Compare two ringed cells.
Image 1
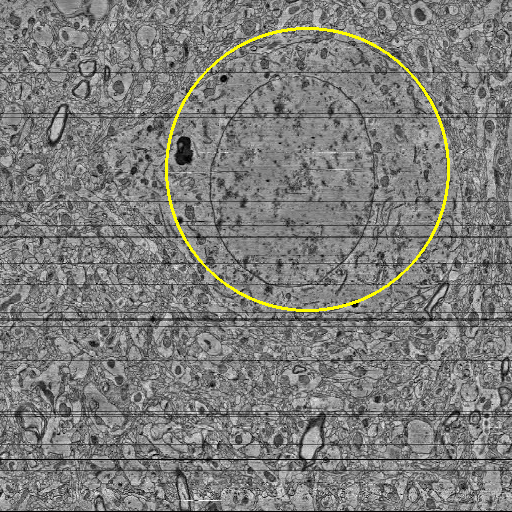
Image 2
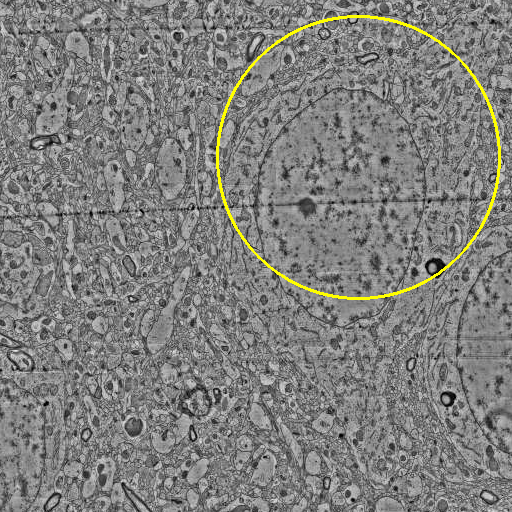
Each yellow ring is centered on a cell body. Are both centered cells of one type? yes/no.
yes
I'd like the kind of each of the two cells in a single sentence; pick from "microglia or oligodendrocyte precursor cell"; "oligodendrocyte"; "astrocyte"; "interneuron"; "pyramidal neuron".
Each cell at the centre of a ring is a pyramidal neuron.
